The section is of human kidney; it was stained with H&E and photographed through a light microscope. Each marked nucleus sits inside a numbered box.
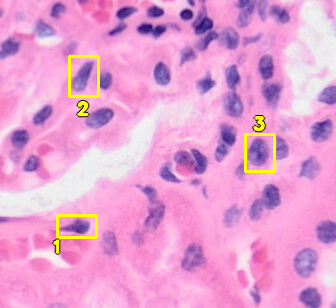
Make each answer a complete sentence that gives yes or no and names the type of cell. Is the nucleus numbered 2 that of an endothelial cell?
Yes, the cell whose number is 2 is an endothelial cell.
